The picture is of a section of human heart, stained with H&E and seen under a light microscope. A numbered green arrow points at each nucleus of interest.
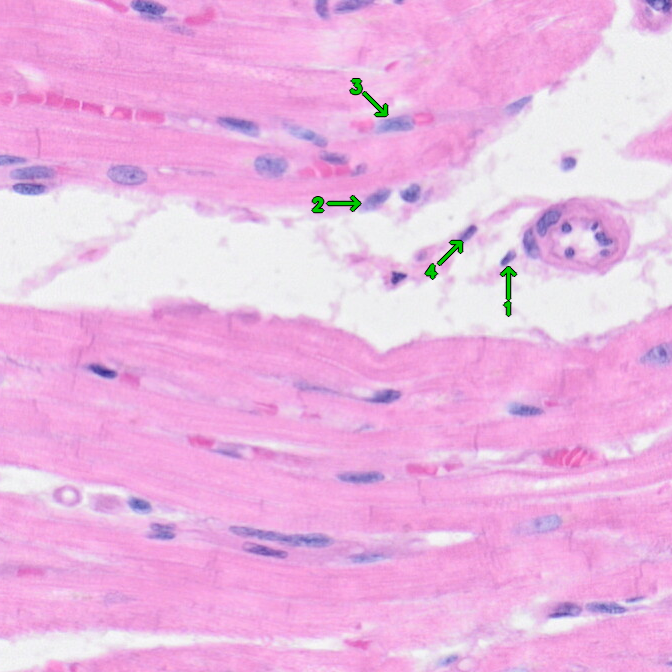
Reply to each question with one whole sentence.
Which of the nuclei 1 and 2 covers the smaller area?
It is nucleus 1; nucleus 2 has about 2.5 times its area.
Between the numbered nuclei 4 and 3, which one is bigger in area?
It is nucleus 3, which covers about 3 times the area of nucleus 4.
